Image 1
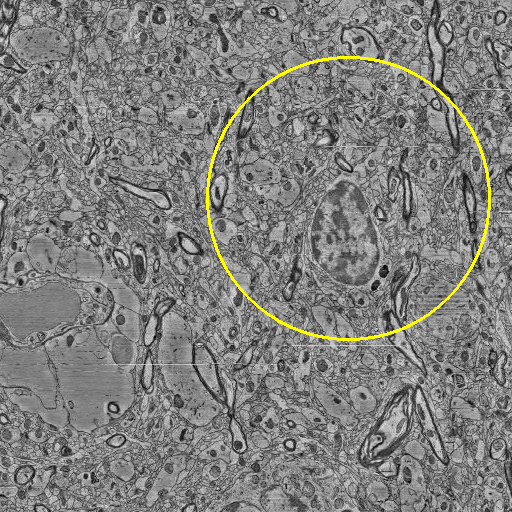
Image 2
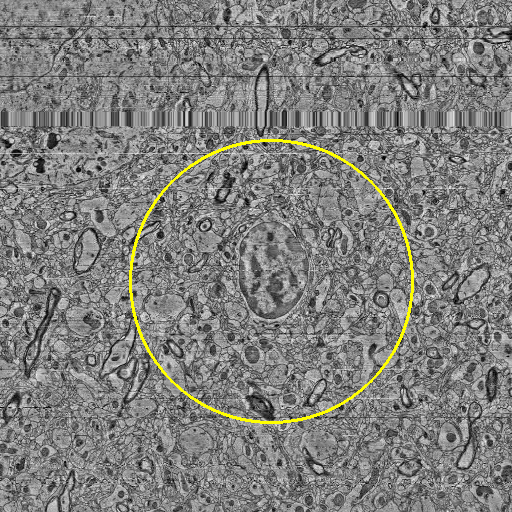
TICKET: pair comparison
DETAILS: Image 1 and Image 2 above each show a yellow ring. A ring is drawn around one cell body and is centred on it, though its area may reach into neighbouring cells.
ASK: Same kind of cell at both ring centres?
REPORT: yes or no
yes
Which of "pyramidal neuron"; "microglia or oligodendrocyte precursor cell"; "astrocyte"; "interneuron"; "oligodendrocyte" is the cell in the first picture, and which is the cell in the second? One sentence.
Each one of the two ringed cells is a microglial cell or oligodendrocyte precursor cell.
